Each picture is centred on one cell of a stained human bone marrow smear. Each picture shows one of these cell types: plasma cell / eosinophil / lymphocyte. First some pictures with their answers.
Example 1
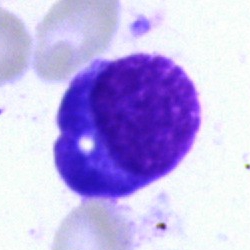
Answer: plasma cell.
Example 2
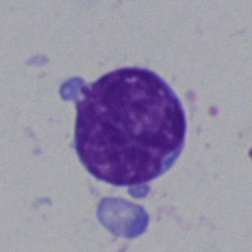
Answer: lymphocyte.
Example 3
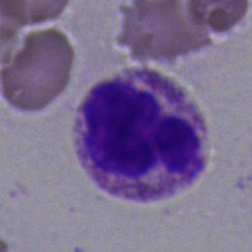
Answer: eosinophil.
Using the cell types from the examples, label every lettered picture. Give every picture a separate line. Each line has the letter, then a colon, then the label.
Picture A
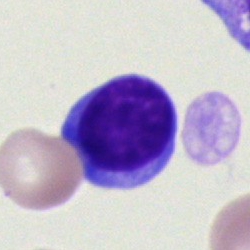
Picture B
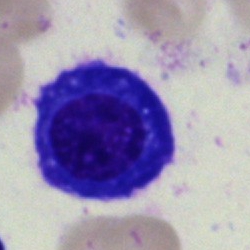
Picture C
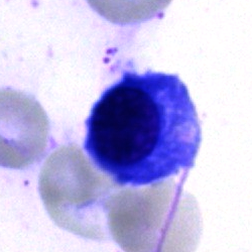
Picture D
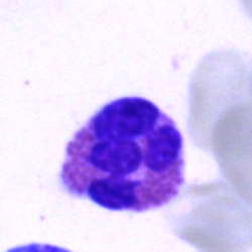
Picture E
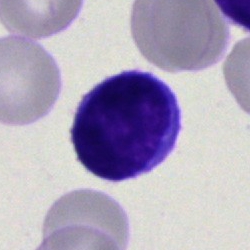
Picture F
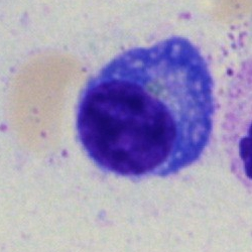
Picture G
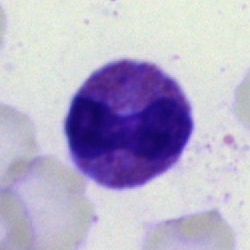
A: lymphocyte.
B: plasma cell.
C: plasma cell.
D: eosinophil.
E: lymphocyte.
F: plasma cell.
G: eosinophil.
